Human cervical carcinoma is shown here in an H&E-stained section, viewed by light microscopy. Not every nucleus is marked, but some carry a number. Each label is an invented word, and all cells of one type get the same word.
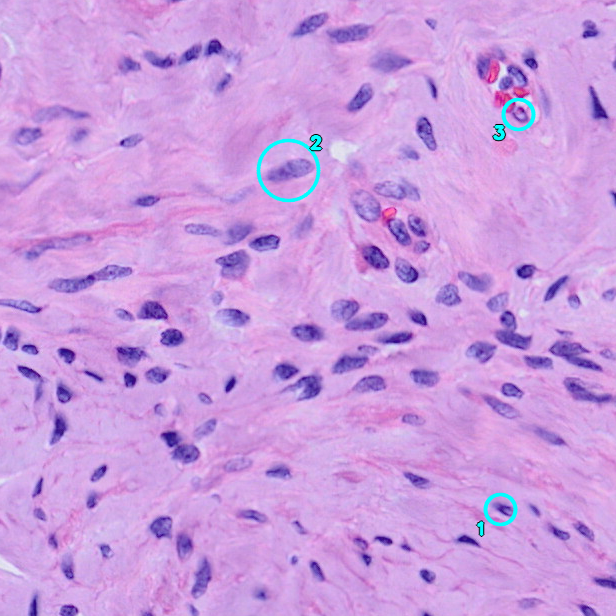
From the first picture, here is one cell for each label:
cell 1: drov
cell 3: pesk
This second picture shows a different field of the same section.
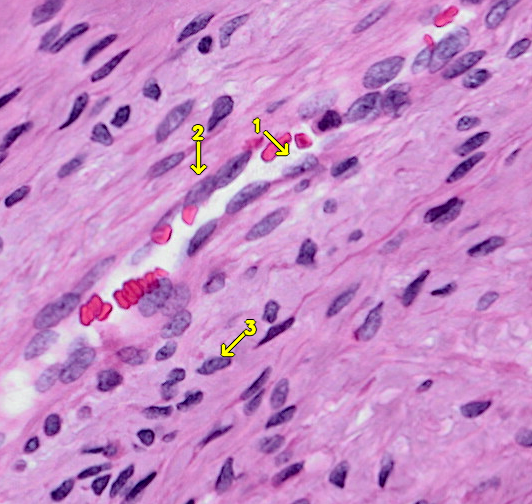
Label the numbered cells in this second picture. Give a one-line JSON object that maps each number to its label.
{"1": "pesk", "2": "pesk", "3": "drov"}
